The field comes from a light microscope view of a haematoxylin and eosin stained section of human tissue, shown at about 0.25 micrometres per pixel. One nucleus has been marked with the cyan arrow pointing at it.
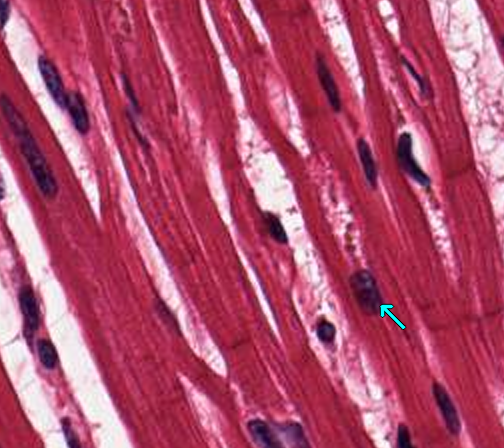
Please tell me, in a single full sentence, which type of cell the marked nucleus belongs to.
The marked nucleus is that of a cardiomyocyte in this section.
